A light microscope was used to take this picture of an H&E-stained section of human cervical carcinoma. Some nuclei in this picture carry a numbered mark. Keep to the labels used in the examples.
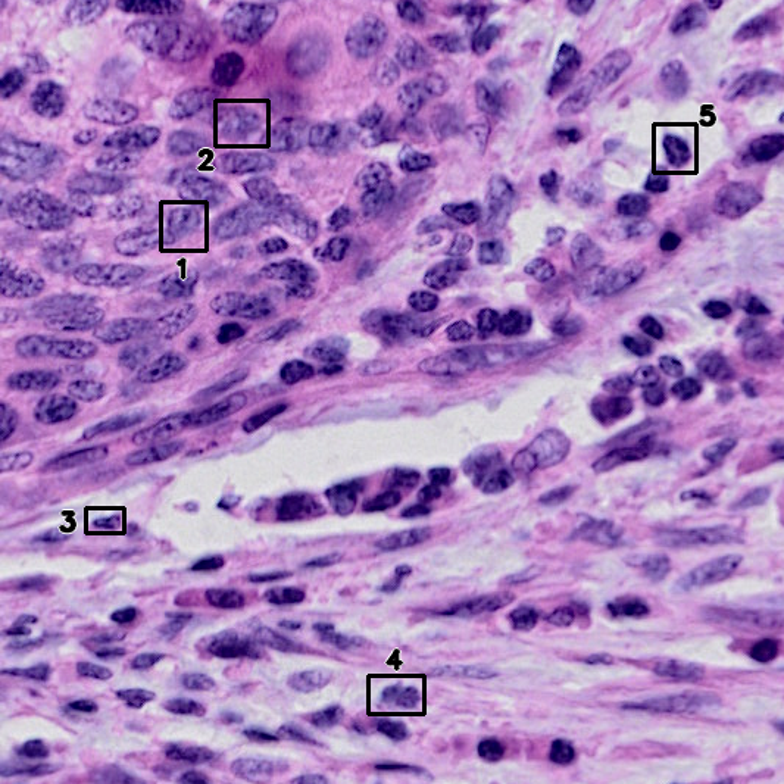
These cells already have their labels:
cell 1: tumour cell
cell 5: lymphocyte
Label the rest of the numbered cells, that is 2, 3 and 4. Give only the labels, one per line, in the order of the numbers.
tumour cell
lymphocyte
lymphocyte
